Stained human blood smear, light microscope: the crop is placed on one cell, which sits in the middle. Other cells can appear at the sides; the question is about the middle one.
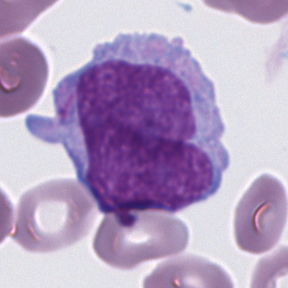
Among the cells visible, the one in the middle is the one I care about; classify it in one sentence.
The center cell of this crop is an atypical promyelocyte.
